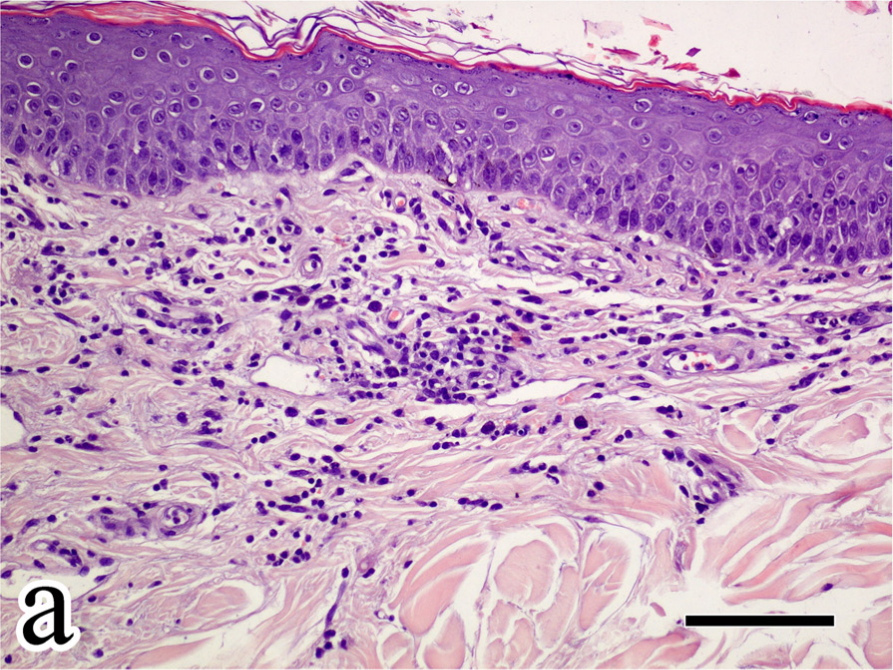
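This is skin with a thickened epidermis and an inflammatory cell infiltrate in the upper dermis. The epidermis is a broad, many-layered band of keratinocytes with purple cytoplasm and round nuclei, its lower border fairly even, covered by a thin red cornified layer. Beneath it, the upper dermis holds many small cells with dark round nuclei gathered around small blood vessels. Some vessels contain red blood cells. Deeper down, thick pink collagen bundles dominate and inflammatory cells are sparser.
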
